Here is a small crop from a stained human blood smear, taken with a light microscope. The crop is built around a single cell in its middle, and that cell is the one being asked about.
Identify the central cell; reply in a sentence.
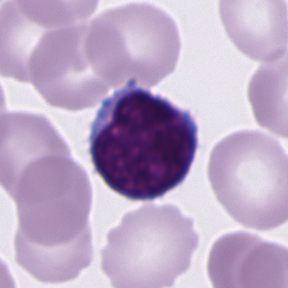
The centered cell in this crop is a typical lymphocyte.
